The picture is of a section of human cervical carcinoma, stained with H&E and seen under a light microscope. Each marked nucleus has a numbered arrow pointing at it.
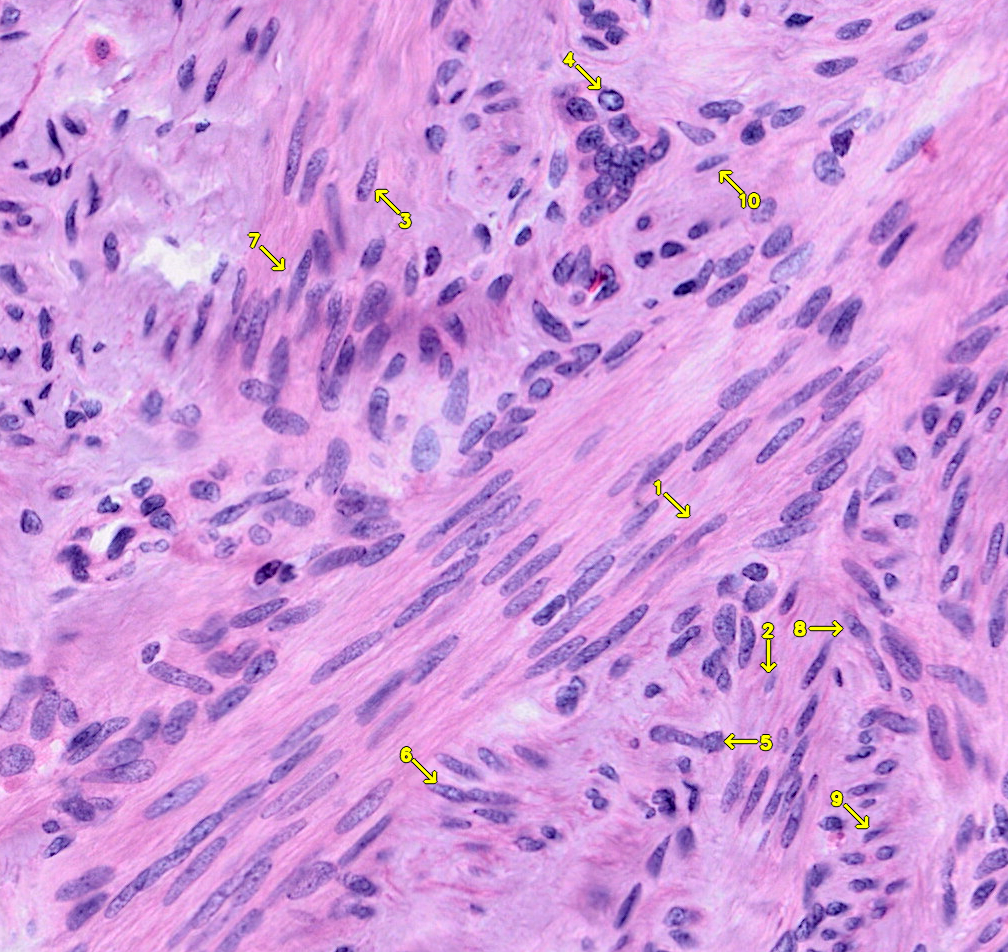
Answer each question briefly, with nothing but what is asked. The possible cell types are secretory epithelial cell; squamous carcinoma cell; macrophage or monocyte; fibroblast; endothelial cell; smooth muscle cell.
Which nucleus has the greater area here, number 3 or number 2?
3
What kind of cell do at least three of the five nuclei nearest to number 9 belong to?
smooth muscle cell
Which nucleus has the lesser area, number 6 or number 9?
9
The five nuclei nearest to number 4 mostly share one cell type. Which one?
endothelial cell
